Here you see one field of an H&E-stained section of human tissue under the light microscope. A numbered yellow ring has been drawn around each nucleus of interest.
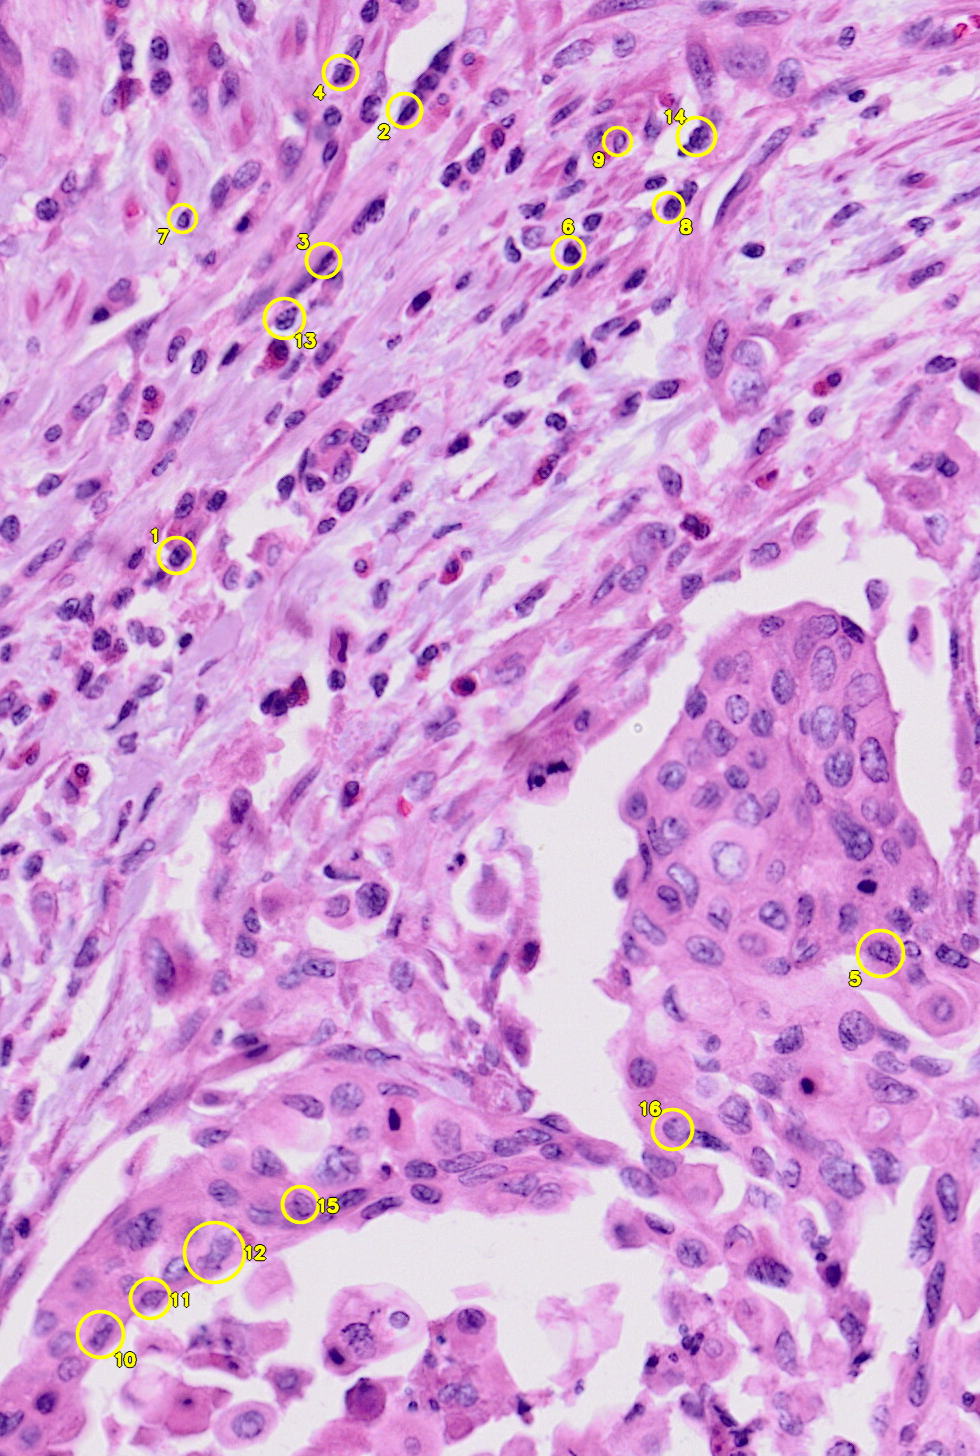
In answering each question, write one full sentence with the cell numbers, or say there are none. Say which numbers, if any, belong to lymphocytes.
Here, the cells that carry numbers 1, 2, 3, 4, 6, 7, 8, 13 and 14 are lymphocytes.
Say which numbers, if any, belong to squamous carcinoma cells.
On this slide, the cells numbered 5, 10, 11, 12, 15 and 16 are squamous carcinoma cells.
